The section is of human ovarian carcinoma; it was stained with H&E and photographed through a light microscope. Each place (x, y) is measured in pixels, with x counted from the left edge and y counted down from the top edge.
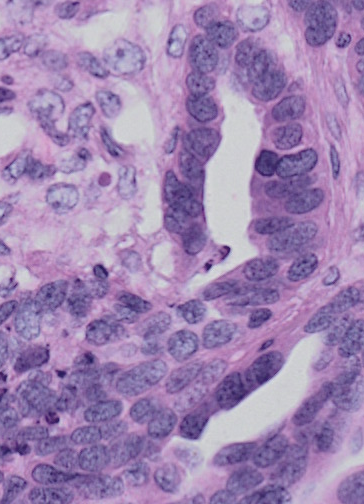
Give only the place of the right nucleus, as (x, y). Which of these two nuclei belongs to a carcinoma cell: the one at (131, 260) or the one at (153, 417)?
(153, 417)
